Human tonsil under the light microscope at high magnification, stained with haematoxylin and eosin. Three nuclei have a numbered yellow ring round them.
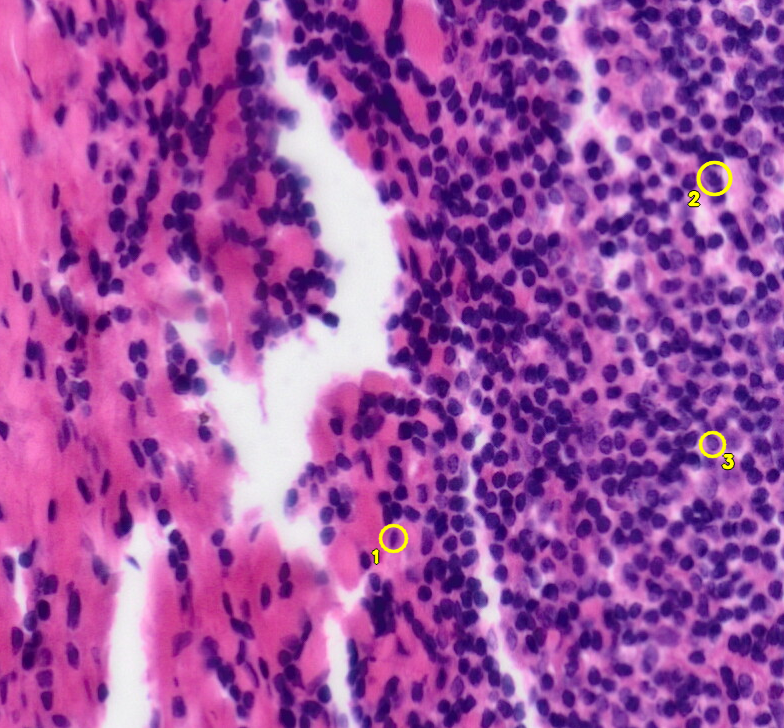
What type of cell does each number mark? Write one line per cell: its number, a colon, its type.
1: endothelial cell
2: small lymphocyte
3: small lymphocyte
